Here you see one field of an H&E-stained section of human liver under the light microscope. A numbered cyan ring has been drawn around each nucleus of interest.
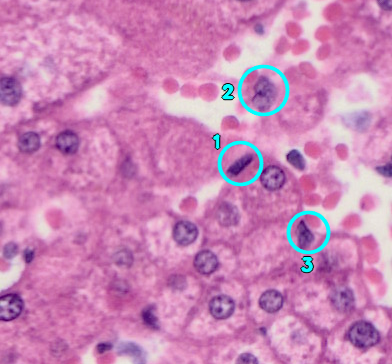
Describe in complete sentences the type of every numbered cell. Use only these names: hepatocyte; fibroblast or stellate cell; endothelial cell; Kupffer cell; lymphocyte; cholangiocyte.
Cell 1 is a fibroblast or stellate cell, cell 2 is a Kupffer cell and cell 3 is an endothelial cell.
